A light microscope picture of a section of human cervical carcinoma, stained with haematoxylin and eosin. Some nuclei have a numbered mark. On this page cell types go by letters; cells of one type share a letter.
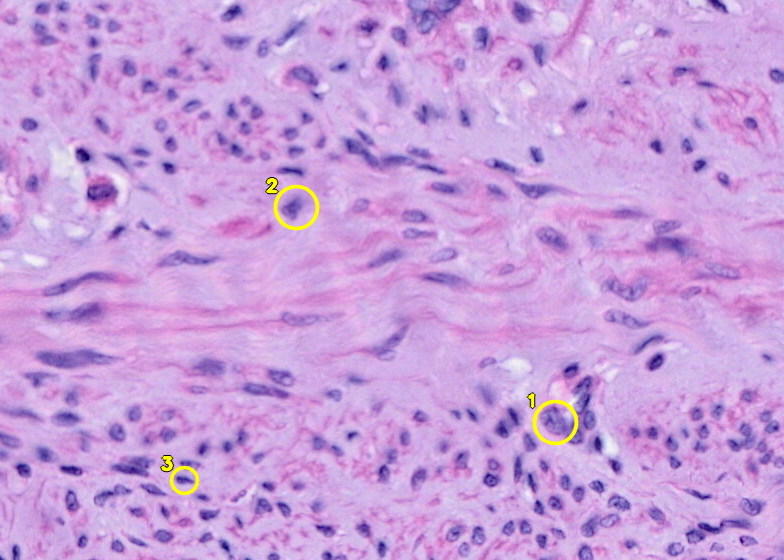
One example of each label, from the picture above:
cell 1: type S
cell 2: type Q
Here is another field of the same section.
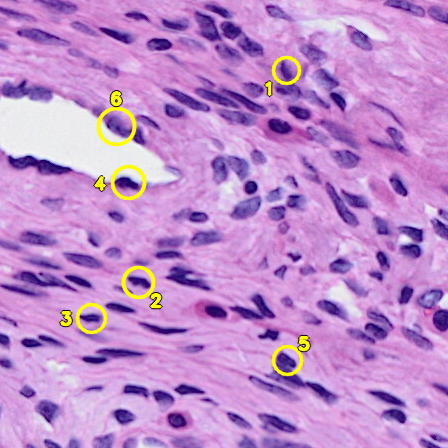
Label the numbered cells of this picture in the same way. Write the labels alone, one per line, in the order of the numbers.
type Q
type Q
type Q
type S
type Q
type S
